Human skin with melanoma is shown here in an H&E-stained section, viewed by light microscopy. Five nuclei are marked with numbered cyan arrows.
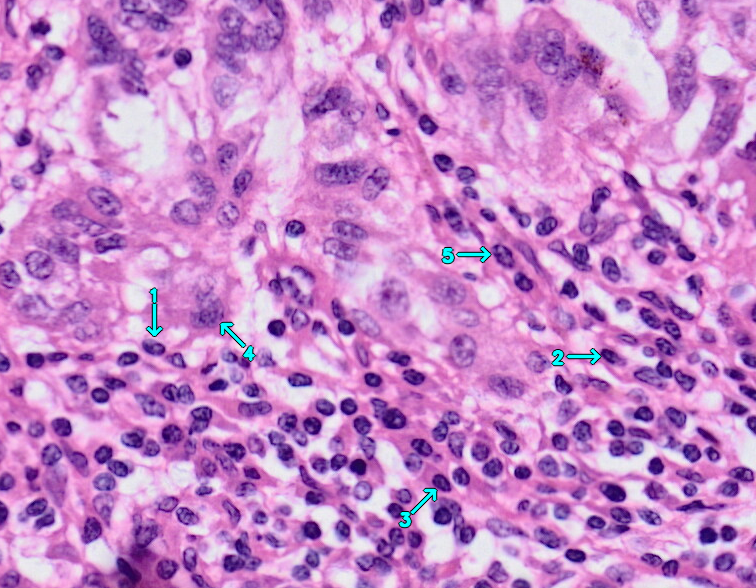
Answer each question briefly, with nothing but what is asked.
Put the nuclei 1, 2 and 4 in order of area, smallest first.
2, 1, 4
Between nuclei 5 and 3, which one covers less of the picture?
3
